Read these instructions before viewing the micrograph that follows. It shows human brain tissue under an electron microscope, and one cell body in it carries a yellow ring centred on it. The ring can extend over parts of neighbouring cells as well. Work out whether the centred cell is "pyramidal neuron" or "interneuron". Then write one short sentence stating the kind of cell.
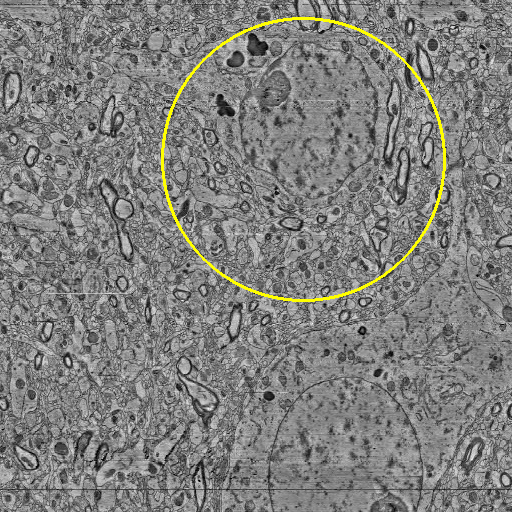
The ringed cell is an interneuron.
